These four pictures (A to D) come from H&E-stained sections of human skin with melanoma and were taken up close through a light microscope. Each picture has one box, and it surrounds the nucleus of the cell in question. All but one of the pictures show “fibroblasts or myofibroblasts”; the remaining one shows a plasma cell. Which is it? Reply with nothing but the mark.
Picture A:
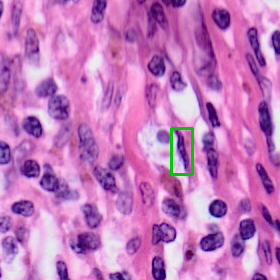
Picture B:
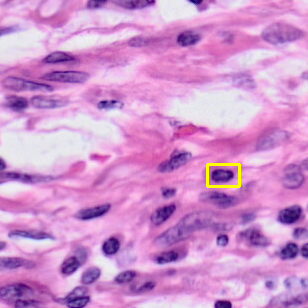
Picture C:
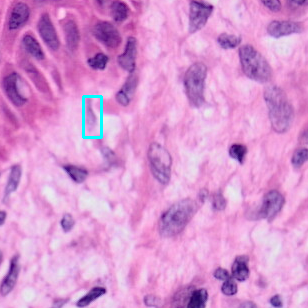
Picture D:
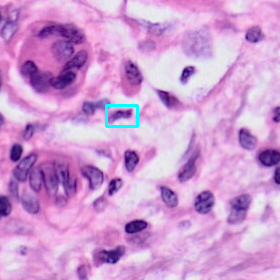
B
